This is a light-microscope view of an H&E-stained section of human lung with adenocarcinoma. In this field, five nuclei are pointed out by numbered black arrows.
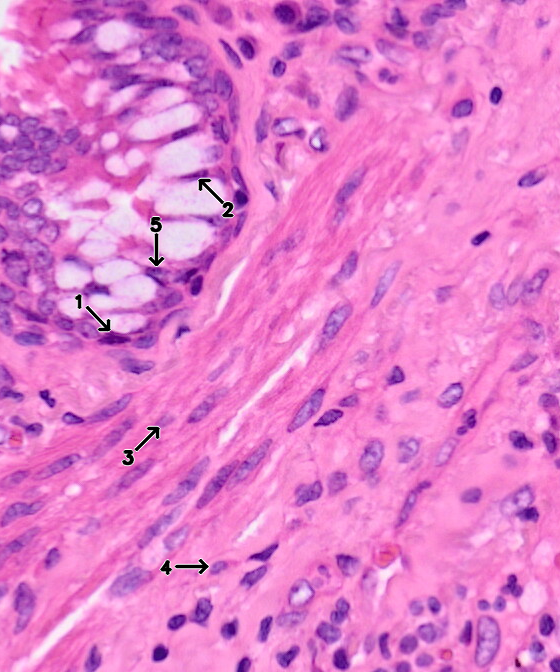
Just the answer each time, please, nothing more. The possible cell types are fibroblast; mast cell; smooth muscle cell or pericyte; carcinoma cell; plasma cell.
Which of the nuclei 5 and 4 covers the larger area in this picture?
5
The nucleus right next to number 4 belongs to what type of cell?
fibroblast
